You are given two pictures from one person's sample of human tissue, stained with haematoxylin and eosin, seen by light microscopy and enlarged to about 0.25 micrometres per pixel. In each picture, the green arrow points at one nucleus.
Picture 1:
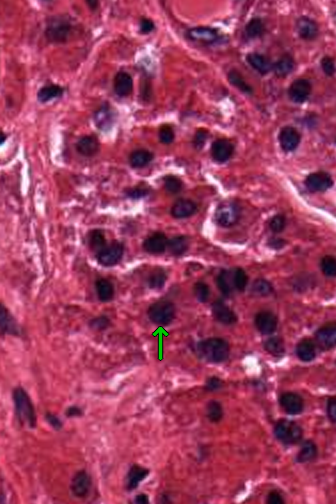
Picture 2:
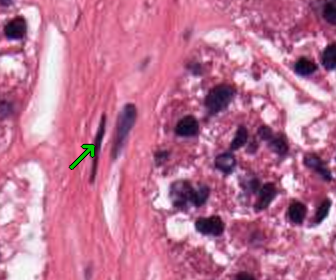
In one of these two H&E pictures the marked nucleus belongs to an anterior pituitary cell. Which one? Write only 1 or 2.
1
